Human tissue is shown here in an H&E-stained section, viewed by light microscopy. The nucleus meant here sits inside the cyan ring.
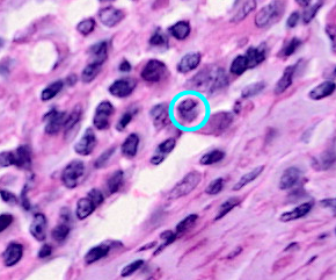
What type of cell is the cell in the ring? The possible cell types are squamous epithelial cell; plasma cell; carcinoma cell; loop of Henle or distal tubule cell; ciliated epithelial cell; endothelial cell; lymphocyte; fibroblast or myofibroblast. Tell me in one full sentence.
In this tissue section, the cell in the ring is to be classed as a lymphocyte.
